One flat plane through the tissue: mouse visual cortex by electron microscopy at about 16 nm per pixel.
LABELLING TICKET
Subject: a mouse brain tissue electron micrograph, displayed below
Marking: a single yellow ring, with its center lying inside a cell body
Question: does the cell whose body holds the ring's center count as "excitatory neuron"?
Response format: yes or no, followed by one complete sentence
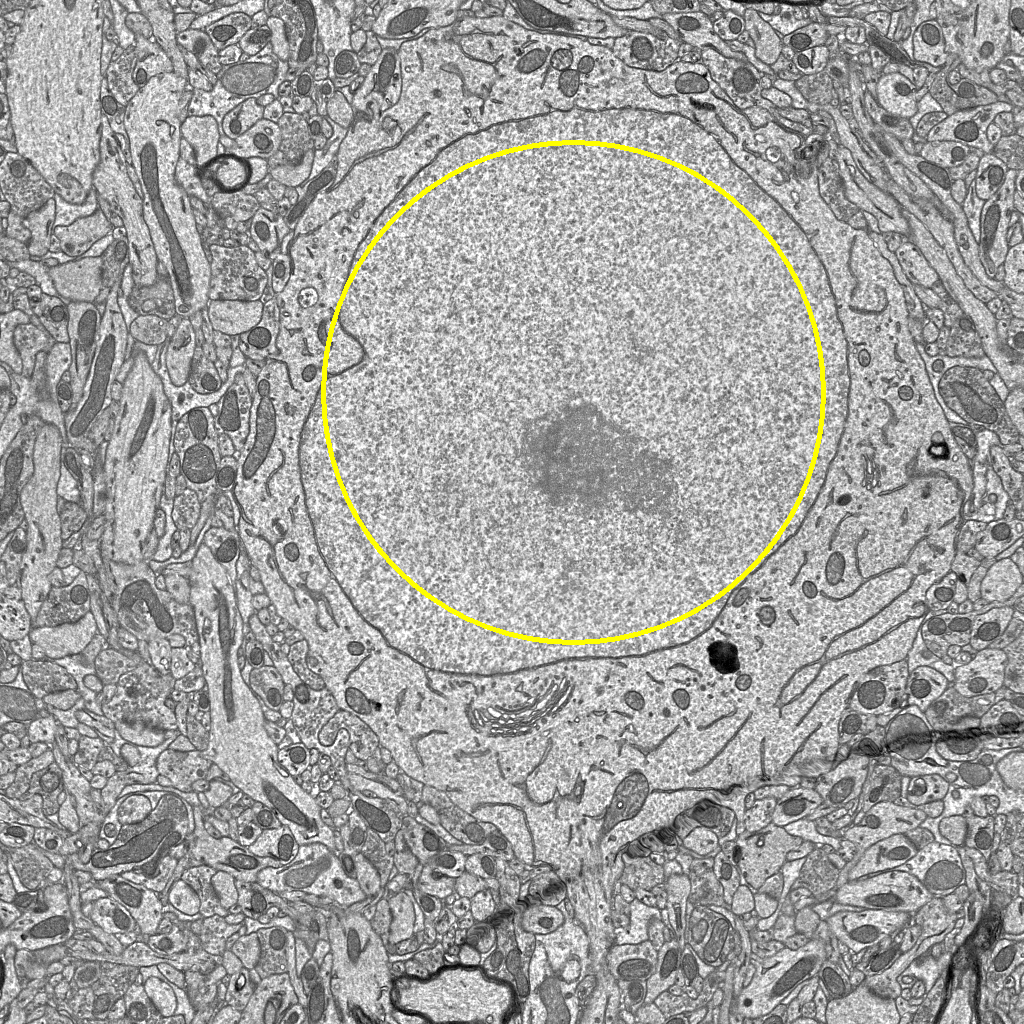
Yes, the cell whose body holds the center of the ring in the picture is of that kind.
